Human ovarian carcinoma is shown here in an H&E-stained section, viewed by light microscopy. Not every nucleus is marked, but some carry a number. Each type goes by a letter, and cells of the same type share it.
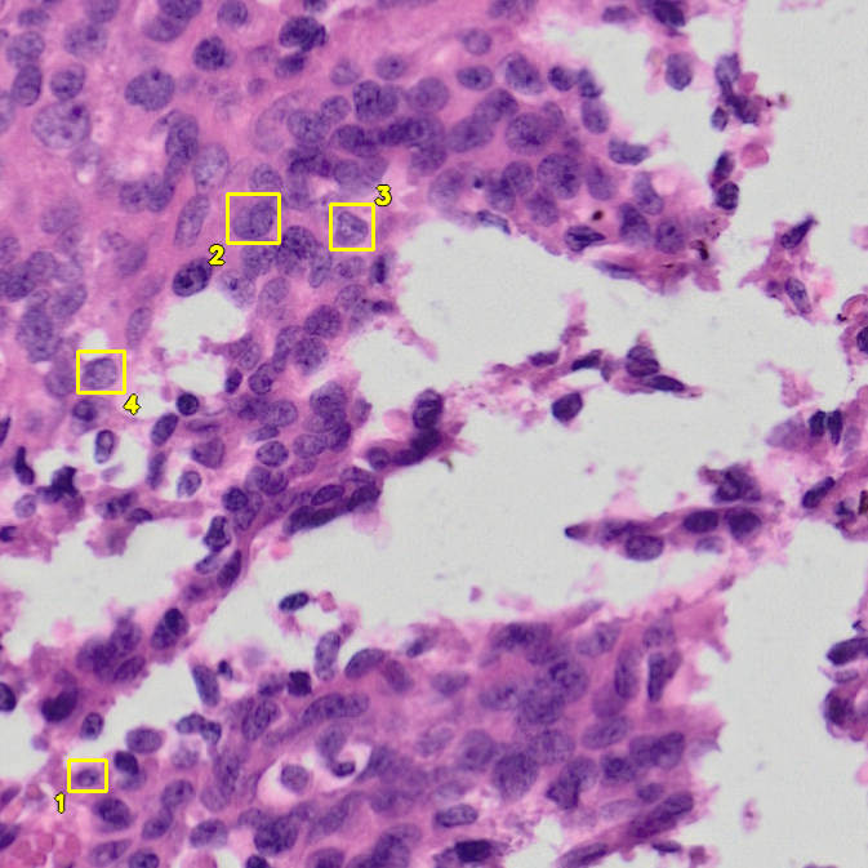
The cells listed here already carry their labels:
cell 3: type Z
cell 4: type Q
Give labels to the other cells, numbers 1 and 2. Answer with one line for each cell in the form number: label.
1: type Z
2: type Q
